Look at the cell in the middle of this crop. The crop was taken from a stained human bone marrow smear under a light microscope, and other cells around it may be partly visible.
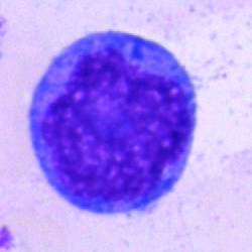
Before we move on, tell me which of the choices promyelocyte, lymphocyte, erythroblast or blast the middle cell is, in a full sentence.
By type, the central cell of the crop is a blast.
